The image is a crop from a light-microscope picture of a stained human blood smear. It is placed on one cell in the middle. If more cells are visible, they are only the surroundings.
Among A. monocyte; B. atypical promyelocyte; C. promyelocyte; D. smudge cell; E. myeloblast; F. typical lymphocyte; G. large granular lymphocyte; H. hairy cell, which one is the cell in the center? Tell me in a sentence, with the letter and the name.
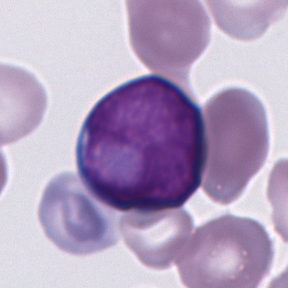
Since the middle cell is a myeloblast, option E is the right one.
